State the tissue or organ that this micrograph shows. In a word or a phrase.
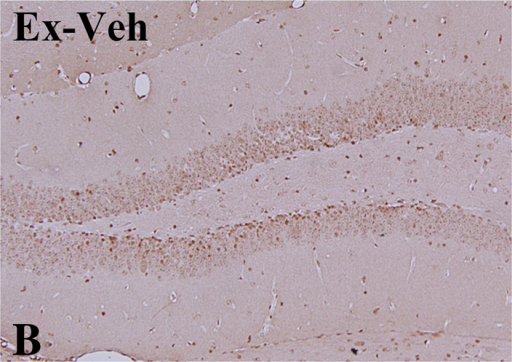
dentate gyrus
